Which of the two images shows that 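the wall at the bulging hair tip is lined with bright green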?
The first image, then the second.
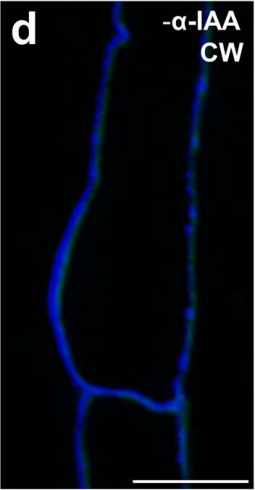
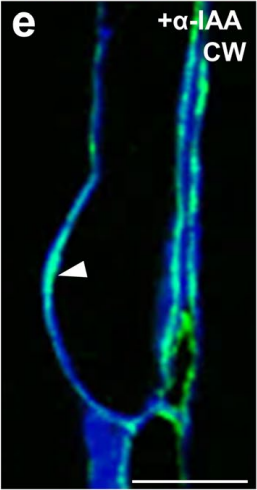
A: the second image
